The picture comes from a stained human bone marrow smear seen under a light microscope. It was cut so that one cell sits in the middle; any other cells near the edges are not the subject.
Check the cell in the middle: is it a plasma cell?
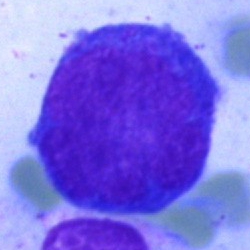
no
